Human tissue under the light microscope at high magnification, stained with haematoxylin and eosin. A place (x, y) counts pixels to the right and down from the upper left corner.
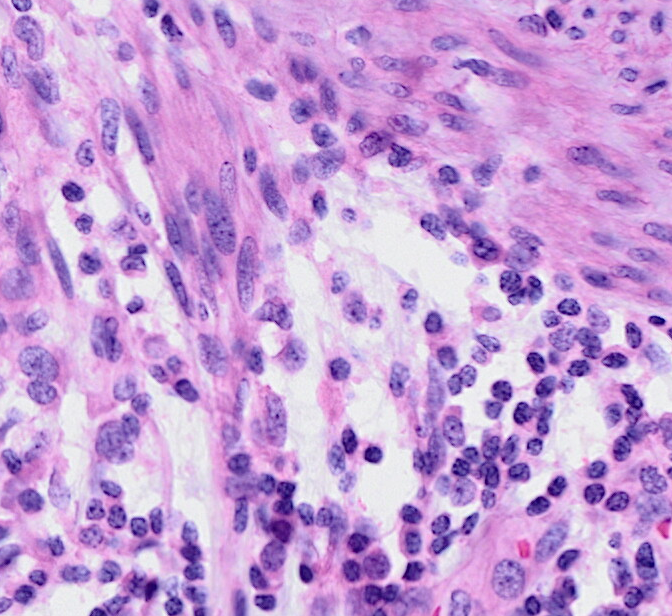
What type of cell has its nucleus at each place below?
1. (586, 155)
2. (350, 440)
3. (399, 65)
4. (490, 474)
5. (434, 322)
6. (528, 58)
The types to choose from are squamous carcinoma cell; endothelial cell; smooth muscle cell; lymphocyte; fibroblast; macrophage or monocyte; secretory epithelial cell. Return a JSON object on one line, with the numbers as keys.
{"1": "smooth muscle cell", "2": "lymphocyte", "3": "smooth muscle cell", "4": "lymphocyte", "5": "lymphocyte", "6": "smooth muscle cell"}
